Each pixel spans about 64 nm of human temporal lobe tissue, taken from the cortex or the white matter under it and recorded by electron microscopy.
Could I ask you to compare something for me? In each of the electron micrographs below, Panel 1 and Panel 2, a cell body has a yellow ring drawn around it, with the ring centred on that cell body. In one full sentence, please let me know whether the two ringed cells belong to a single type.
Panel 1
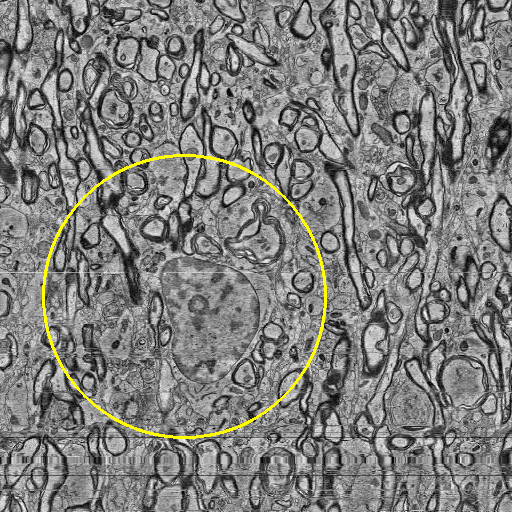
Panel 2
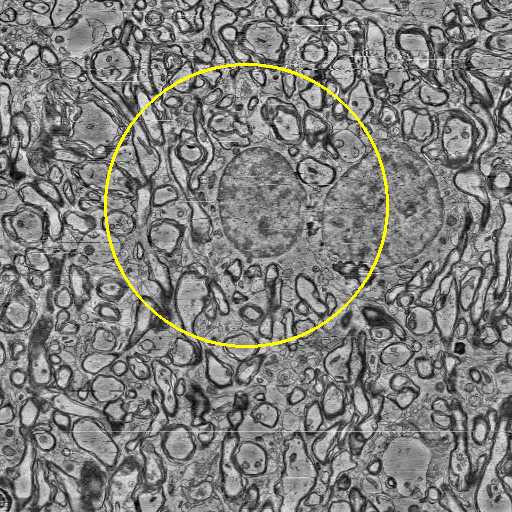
No, the two cells at the centres of the rings are of two types.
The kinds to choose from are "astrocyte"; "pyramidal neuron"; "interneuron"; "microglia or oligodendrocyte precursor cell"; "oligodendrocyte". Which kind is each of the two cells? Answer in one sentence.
Of the two, the first cell is a microglial cell or oligodendrocyte precursor cell and the second cell is an oligodendrocyte.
